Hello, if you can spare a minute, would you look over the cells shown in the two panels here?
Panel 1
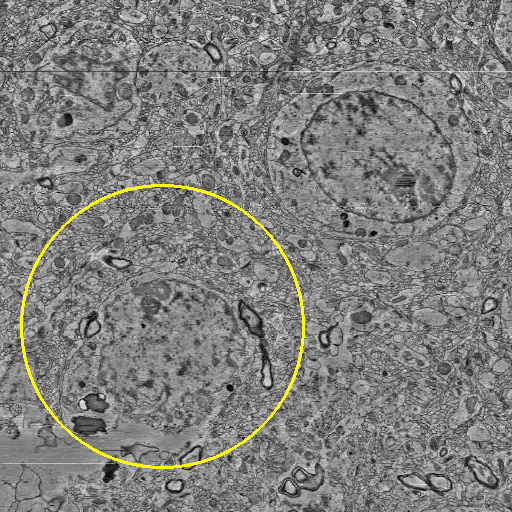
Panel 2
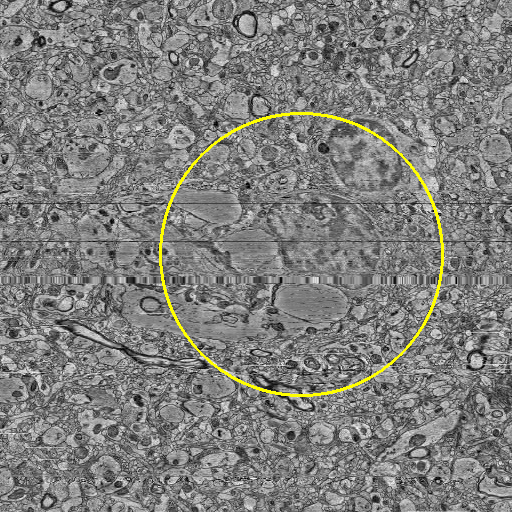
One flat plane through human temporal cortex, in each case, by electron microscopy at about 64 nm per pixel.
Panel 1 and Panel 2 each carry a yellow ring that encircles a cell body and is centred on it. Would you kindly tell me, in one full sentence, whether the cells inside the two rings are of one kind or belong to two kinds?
The cells at the centres of the rings in Panel 1 and Panel 2 belong to two kinds.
